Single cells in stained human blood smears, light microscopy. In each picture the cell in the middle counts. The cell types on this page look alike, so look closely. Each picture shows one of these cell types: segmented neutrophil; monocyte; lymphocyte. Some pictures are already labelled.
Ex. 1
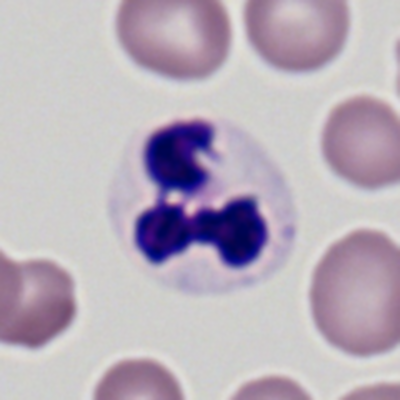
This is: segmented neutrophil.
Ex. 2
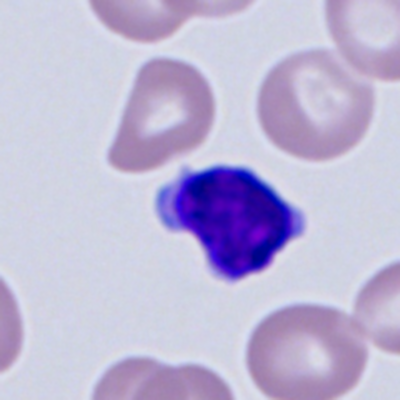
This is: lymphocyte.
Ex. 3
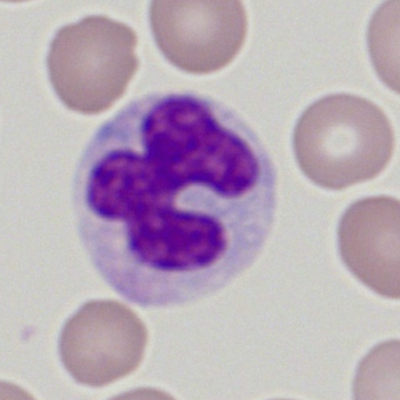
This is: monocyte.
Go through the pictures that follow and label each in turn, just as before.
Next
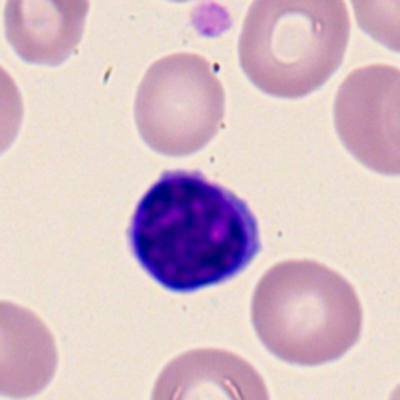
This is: lymphocyte.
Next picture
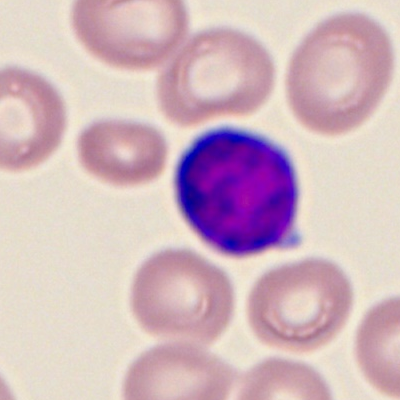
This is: lymphocyte.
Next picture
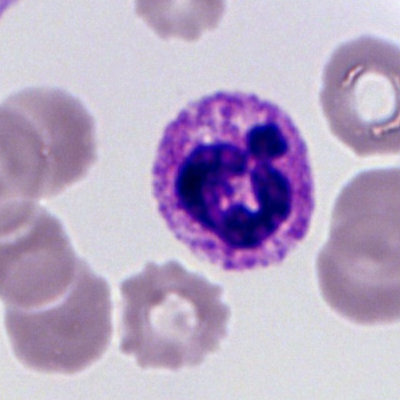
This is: segmented neutrophil.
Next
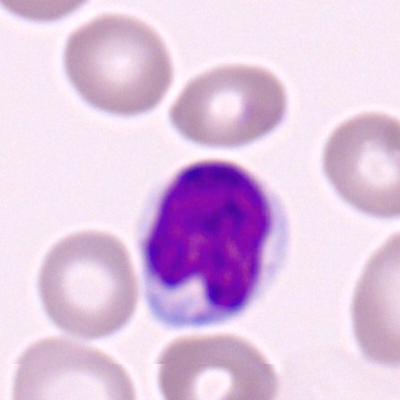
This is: lymphocyte.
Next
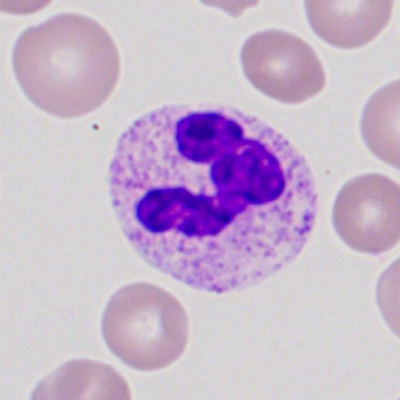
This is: segmented neutrophil.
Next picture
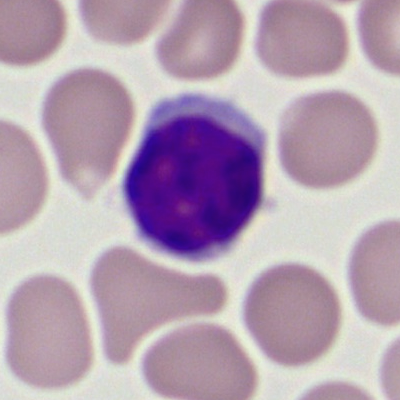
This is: lymphocyte.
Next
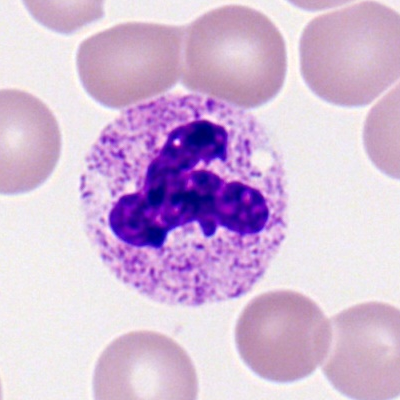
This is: segmented neutrophil.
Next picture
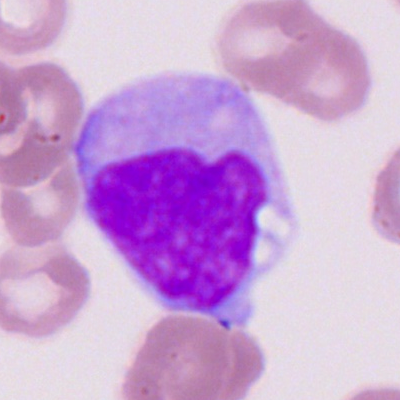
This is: monocyte.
